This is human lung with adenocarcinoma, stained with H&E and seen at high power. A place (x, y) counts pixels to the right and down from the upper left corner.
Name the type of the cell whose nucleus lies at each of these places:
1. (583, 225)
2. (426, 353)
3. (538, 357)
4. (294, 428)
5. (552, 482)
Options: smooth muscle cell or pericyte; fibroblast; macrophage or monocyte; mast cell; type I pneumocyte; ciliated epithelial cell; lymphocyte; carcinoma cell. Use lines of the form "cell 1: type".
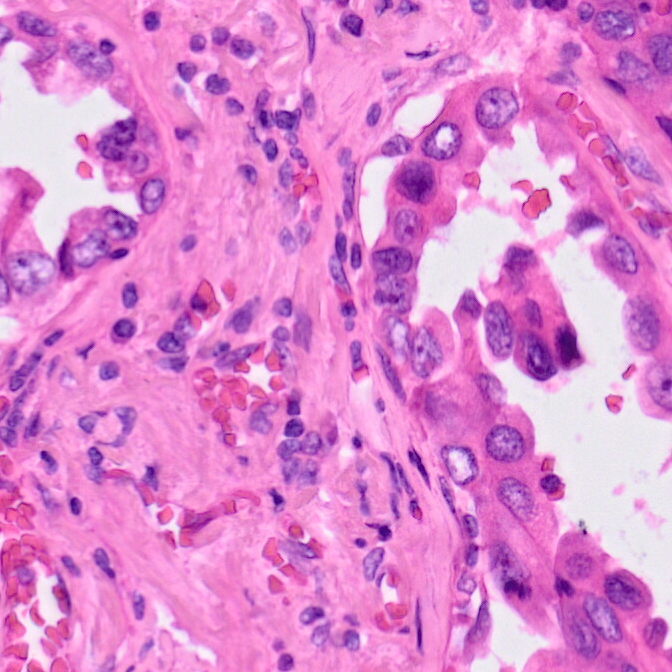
cell 1: carcinoma cell
cell 2: carcinoma cell
cell 3: carcinoma cell
cell 4: lymphocyte
cell 5: lymphocyte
